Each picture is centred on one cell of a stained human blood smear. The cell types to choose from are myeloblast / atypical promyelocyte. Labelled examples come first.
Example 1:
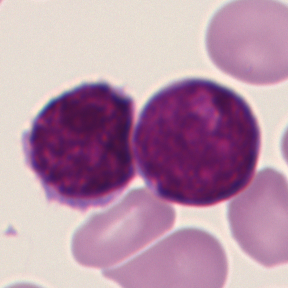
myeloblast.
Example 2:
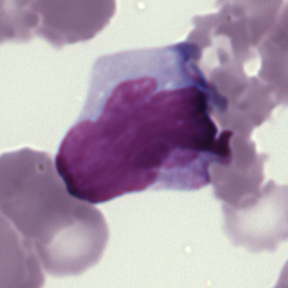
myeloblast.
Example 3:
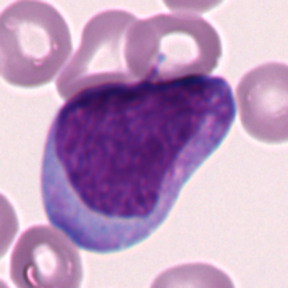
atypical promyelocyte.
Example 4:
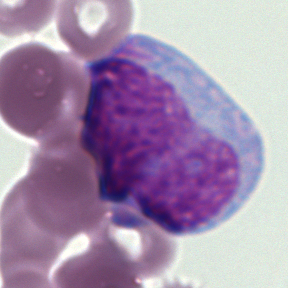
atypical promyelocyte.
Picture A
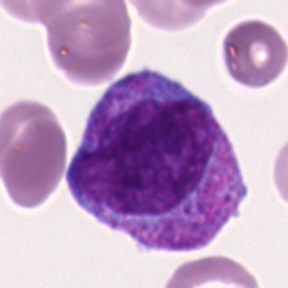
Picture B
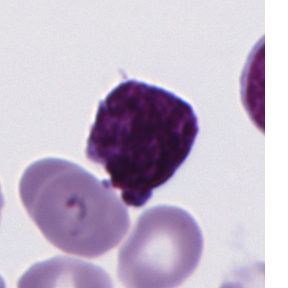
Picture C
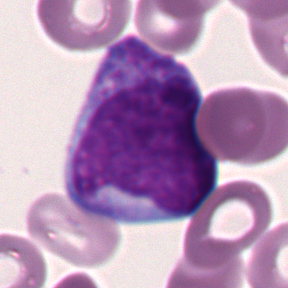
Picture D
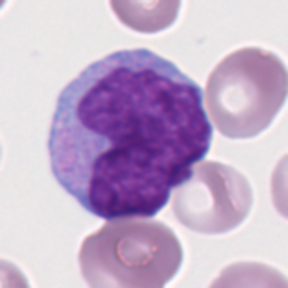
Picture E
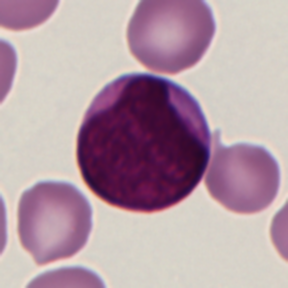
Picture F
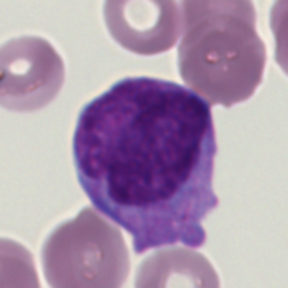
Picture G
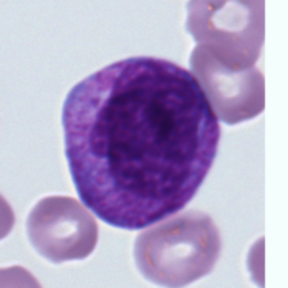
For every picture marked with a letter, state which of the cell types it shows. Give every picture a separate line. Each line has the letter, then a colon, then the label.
A: atypical promyelocyte.
B: myeloblast.
C: atypical promyelocyte.
D: atypical promyelocyte.
E: myeloblast.
F: atypical promyelocyte.
G: atypical promyelocyte.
